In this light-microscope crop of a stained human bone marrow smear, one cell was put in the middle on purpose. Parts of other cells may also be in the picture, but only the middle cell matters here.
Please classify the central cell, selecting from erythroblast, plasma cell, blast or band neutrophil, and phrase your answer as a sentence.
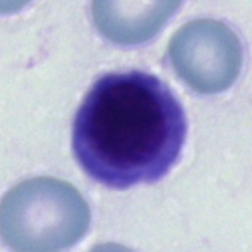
The identification for the central cell is an erythroblast.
